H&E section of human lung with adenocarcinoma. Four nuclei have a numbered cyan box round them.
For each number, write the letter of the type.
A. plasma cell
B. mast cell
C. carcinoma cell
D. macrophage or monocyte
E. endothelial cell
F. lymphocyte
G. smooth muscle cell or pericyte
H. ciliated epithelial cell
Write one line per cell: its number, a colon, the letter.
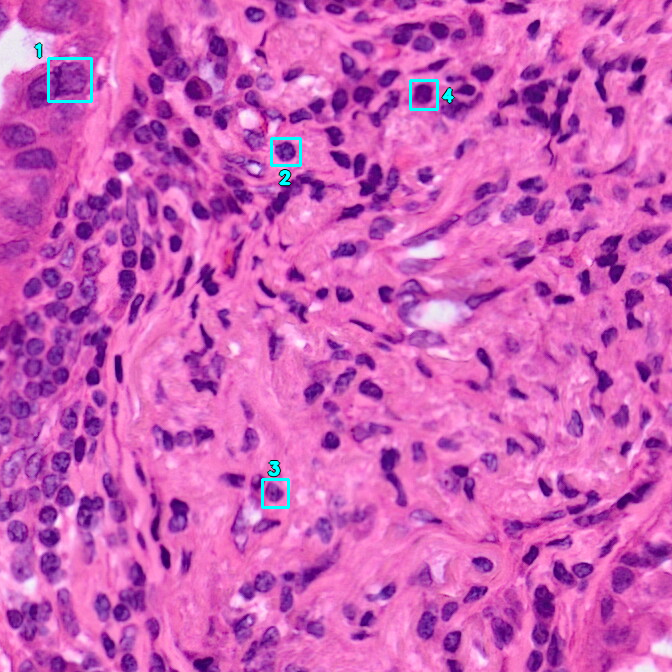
1: C
2: F
3: F
4: A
